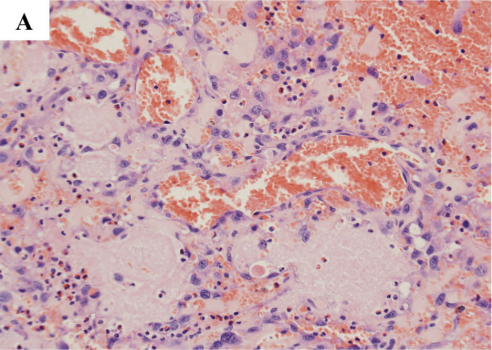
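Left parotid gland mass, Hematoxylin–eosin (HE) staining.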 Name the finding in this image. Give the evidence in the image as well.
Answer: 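Bleeding. Red cells spread among the stromal cells.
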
